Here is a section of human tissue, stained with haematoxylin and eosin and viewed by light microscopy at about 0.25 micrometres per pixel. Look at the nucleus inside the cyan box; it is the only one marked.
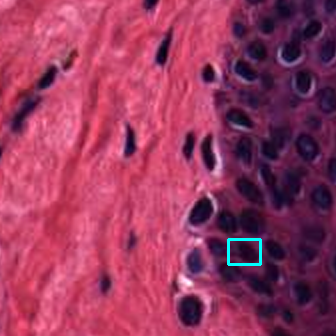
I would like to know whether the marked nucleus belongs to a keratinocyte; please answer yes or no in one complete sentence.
Yes, it is within a keratinocyte that the marked nucleus lies.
